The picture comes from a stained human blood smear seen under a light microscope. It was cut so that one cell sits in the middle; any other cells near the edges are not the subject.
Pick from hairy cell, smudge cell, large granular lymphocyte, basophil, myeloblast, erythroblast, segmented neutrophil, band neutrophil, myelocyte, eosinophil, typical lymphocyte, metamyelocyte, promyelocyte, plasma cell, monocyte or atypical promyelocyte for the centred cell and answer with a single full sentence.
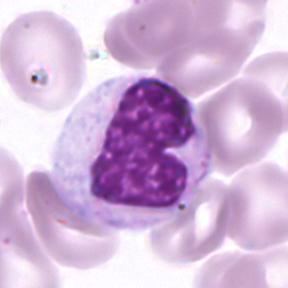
Centred in the crop is a band neutrophil.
